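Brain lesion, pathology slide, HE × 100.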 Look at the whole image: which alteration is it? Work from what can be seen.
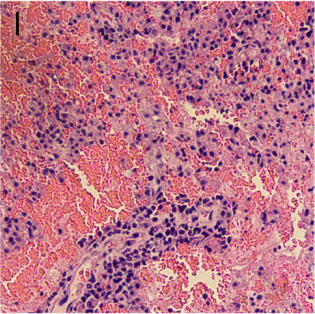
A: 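Large sheets of pink-red, anucleate red blood cells fill much of the field, especially on the left. The red cells lie freely in the tissue rather than confined within vessels. So: hemorrhage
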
